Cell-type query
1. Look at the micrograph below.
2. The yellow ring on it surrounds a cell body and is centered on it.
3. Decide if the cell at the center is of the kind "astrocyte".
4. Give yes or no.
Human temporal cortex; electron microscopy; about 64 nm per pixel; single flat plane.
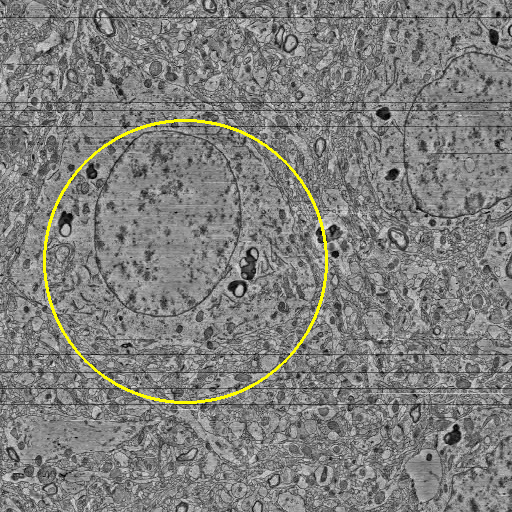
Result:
no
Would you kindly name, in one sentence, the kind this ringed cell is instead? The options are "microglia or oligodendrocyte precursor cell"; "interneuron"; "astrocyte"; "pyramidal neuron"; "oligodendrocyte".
Instead, the cell at the centre of the yellow ring is a pyramidal neuron.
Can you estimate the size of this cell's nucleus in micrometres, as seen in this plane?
About 12 micrometres by about 9 micrometres in this plane.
